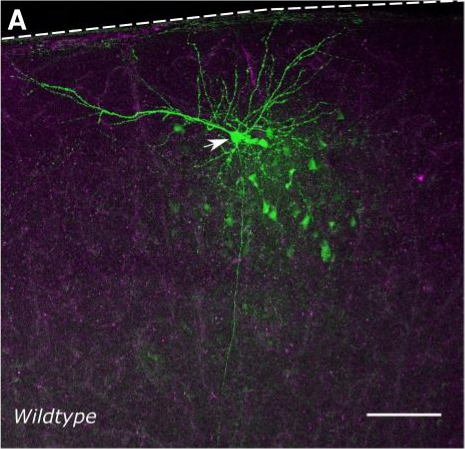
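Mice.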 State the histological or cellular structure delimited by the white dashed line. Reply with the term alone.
Pia.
